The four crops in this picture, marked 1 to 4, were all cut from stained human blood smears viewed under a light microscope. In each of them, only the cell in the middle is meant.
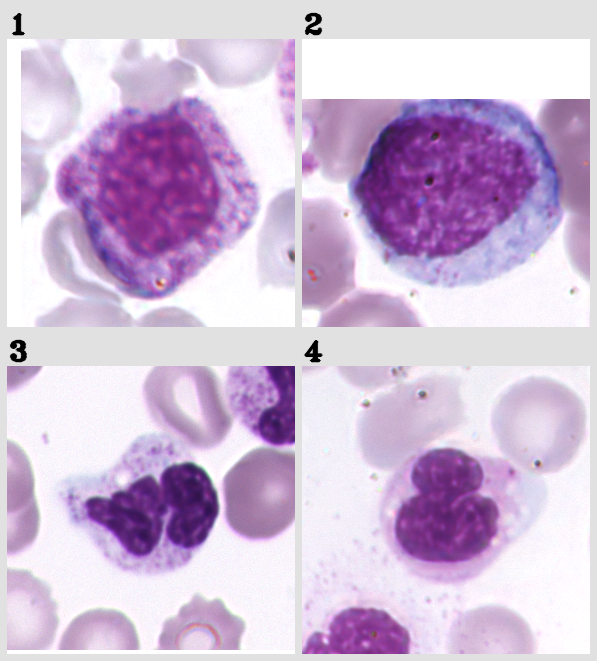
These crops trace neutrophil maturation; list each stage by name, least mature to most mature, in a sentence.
Maturity rises in the sequence crop 2 (a promyelocyte), crop 1 (a myelocyte), crop 4 (a band neutrophil) and crop 3 (a segmented neutrophil).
